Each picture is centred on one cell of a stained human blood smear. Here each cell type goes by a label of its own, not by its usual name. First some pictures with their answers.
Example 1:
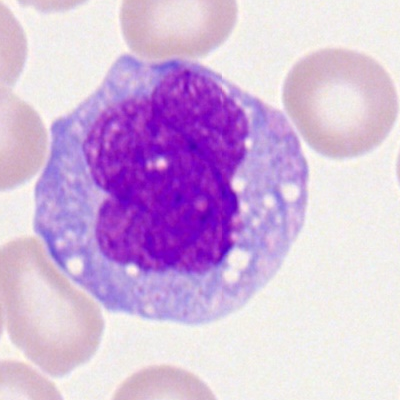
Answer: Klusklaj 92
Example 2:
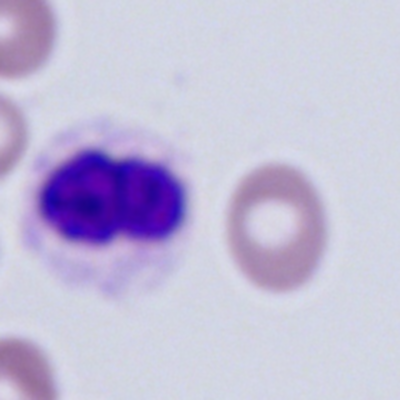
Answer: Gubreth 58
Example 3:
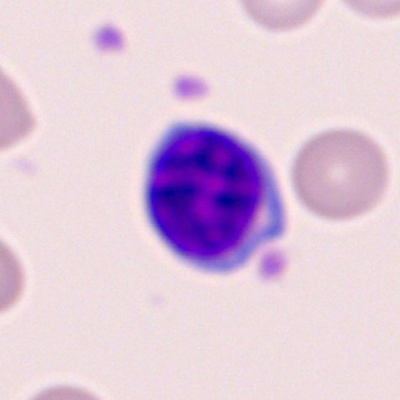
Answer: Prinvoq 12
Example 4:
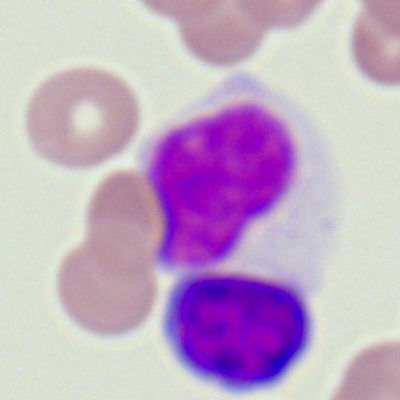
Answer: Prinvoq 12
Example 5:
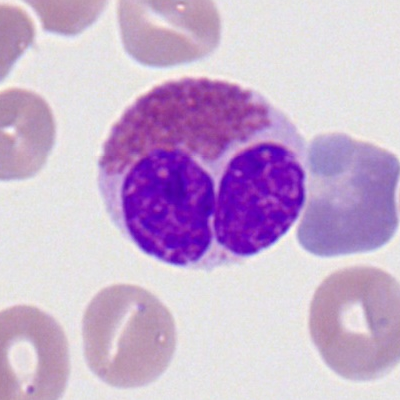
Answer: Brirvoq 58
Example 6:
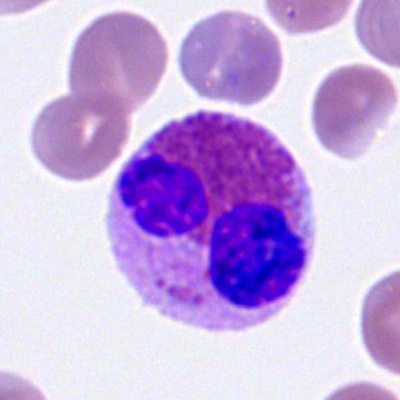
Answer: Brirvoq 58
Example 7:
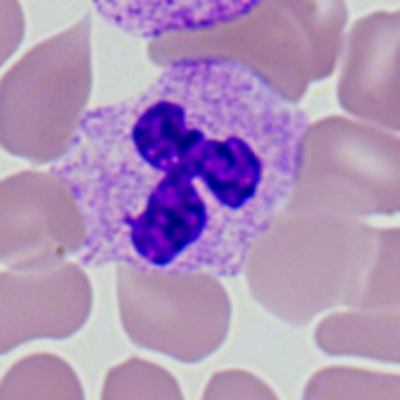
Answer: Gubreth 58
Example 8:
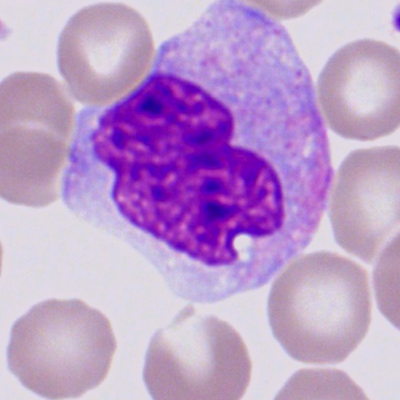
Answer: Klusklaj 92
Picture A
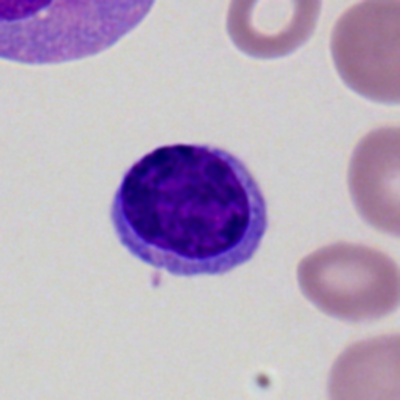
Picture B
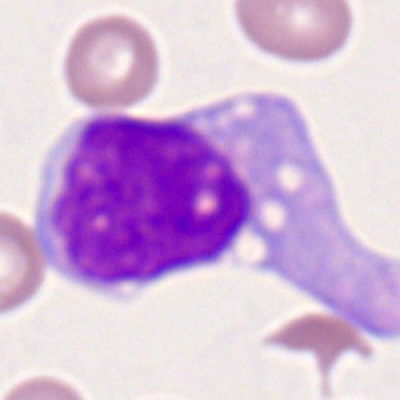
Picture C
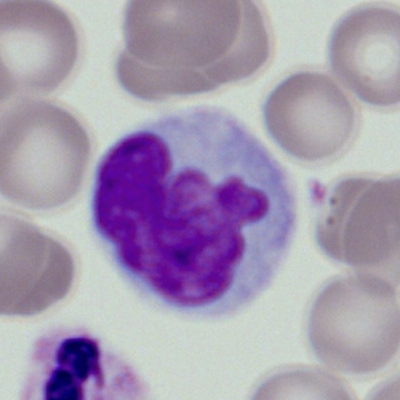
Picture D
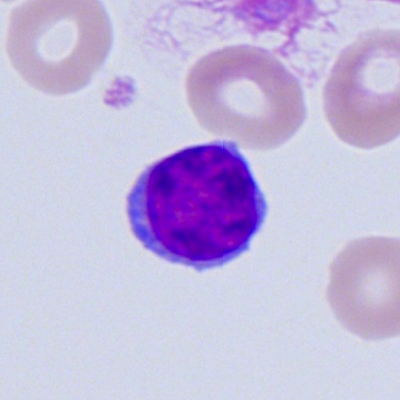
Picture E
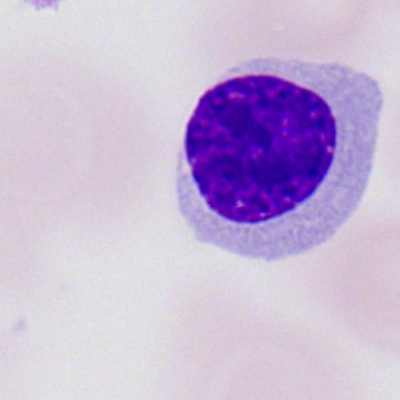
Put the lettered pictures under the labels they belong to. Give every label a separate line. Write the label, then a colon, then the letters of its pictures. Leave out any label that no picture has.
Klusklaj 92: B, C
Prinvoq 12: A, D, E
